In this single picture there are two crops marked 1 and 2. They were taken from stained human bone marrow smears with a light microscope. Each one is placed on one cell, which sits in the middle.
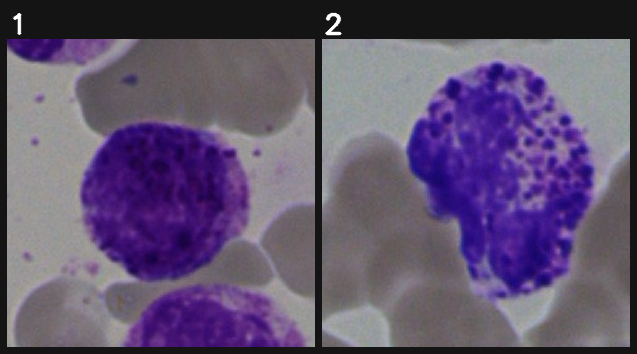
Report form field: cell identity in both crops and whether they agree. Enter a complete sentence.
Yes, the centre of both crops is taken up by basophils.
